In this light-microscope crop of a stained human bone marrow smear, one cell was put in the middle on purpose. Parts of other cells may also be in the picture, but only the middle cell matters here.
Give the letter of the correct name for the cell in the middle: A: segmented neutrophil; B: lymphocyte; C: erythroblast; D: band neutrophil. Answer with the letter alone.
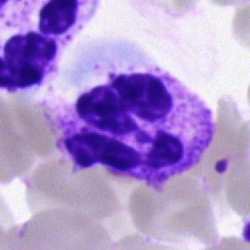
A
